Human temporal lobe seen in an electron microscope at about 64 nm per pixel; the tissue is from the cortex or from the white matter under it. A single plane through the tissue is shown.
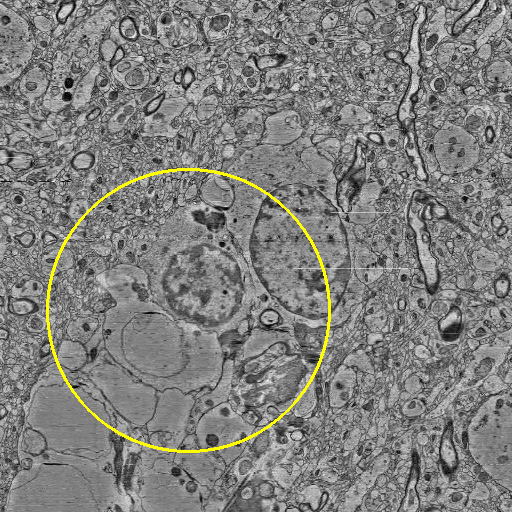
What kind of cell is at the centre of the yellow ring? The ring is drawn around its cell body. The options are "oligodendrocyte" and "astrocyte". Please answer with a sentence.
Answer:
The yellow ring marks the cell body of an oligodendrocyte.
